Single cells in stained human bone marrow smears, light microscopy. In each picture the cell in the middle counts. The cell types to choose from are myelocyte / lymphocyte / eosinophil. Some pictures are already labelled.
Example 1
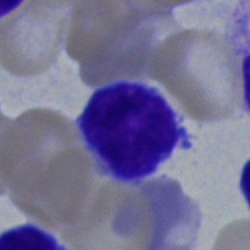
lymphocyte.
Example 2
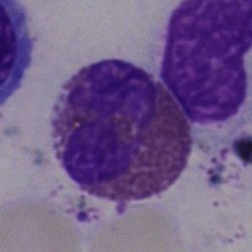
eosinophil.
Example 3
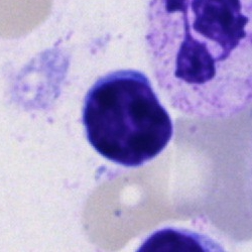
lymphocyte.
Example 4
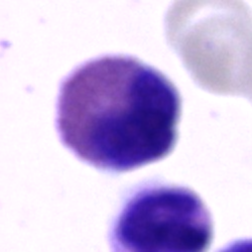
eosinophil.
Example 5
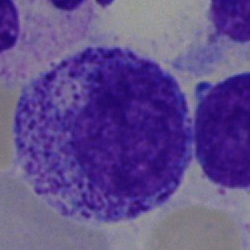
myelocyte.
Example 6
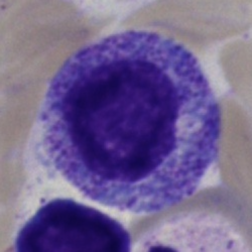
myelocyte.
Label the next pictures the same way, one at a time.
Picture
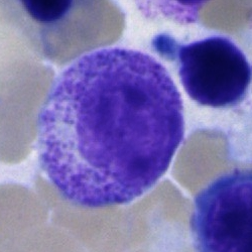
myelocyte.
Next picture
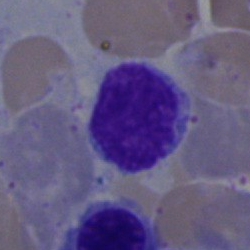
lymphocyte.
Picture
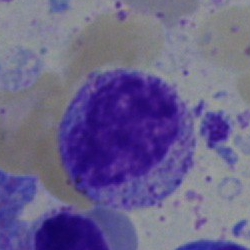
myelocyte.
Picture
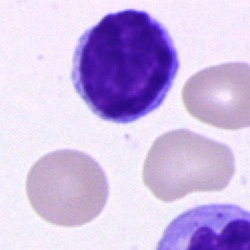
lymphocyte.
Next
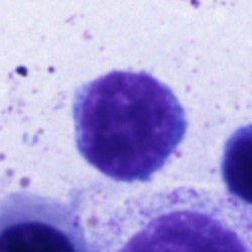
lymphocyte.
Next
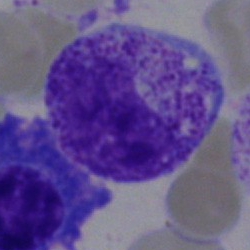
myelocyte.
